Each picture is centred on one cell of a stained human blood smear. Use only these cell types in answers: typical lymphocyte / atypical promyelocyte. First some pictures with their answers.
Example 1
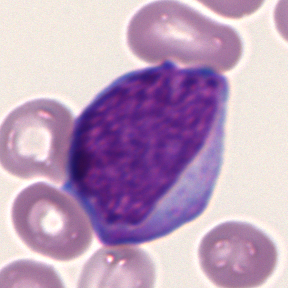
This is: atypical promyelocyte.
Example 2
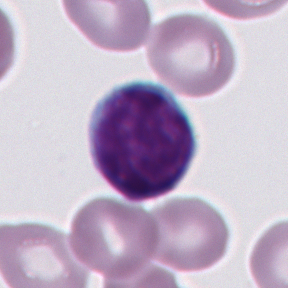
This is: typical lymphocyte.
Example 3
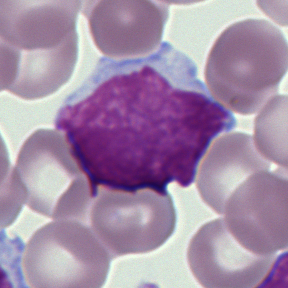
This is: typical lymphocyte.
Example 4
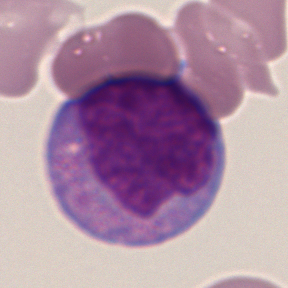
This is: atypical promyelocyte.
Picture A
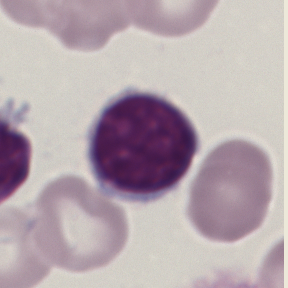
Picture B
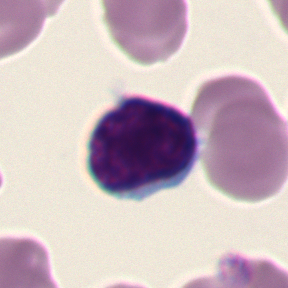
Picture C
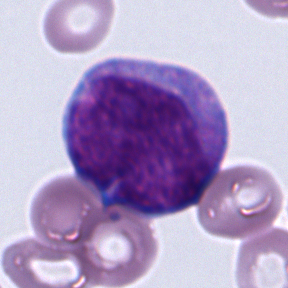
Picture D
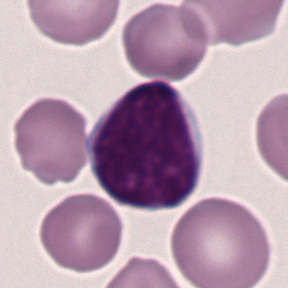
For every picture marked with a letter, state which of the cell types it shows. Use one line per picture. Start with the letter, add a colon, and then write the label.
A: typical lymphocyte.
B: typical lymphocyte.
C: atypical promyelocyte.
D: typical lymphocyte.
